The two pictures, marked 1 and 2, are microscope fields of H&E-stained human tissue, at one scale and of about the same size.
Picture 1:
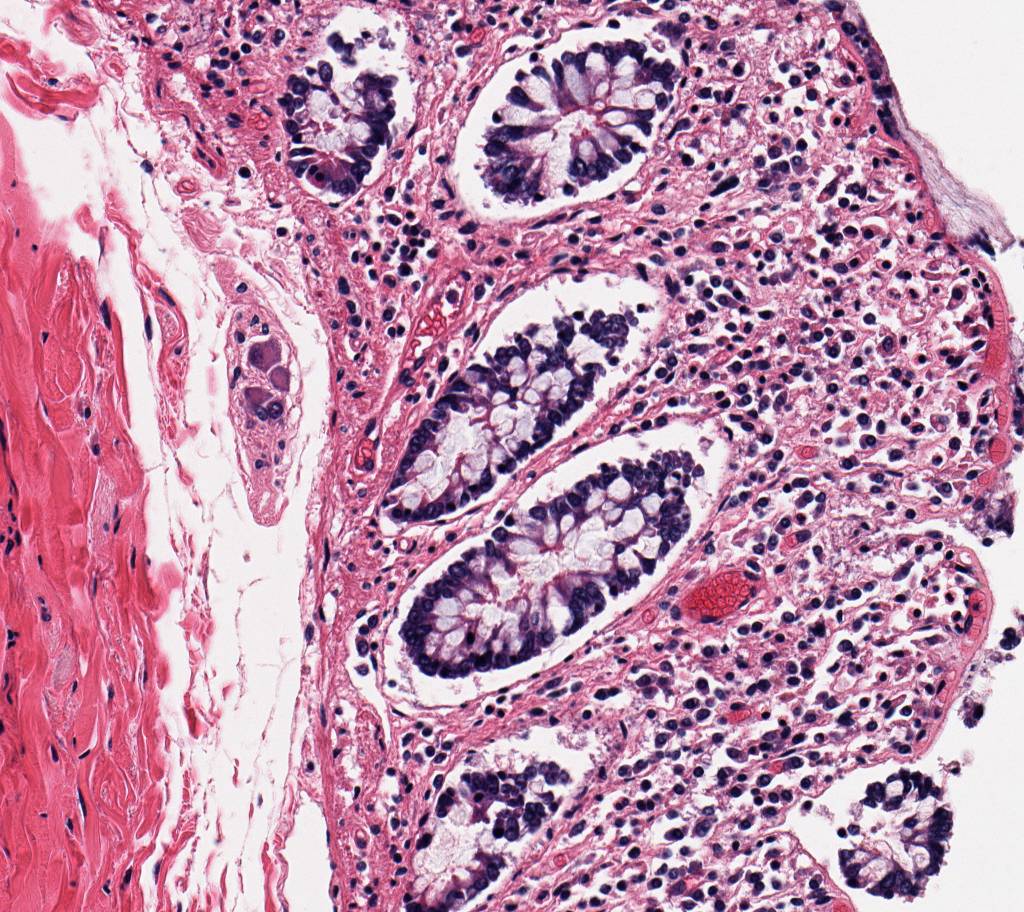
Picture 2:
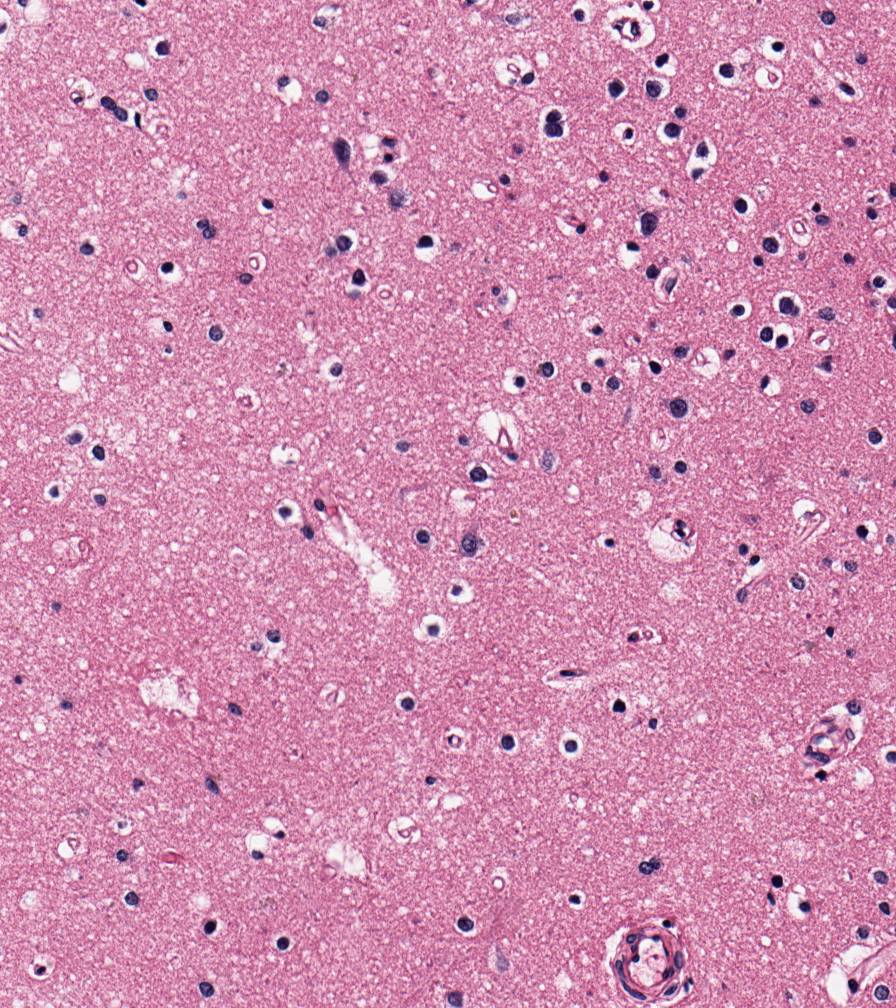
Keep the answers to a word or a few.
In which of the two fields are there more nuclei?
1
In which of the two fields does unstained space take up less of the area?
2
